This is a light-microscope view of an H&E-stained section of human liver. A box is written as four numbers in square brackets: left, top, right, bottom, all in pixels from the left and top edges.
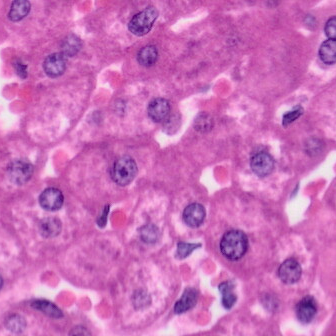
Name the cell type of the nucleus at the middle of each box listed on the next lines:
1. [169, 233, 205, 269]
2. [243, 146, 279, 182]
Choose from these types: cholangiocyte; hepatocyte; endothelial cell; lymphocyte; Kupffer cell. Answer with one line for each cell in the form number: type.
1: endothelial cell
2: hepatocyte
